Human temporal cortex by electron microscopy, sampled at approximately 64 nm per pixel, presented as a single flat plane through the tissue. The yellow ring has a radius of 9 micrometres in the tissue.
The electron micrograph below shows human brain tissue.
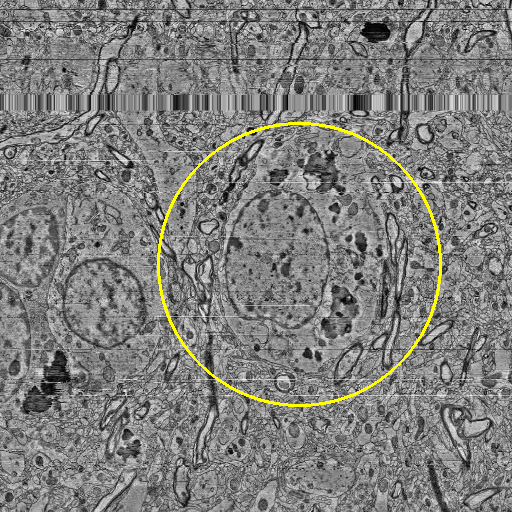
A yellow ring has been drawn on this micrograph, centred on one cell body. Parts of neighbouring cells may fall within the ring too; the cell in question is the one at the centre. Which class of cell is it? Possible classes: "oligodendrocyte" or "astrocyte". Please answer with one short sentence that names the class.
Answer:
In the centre of the ring sits an astrocyte.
